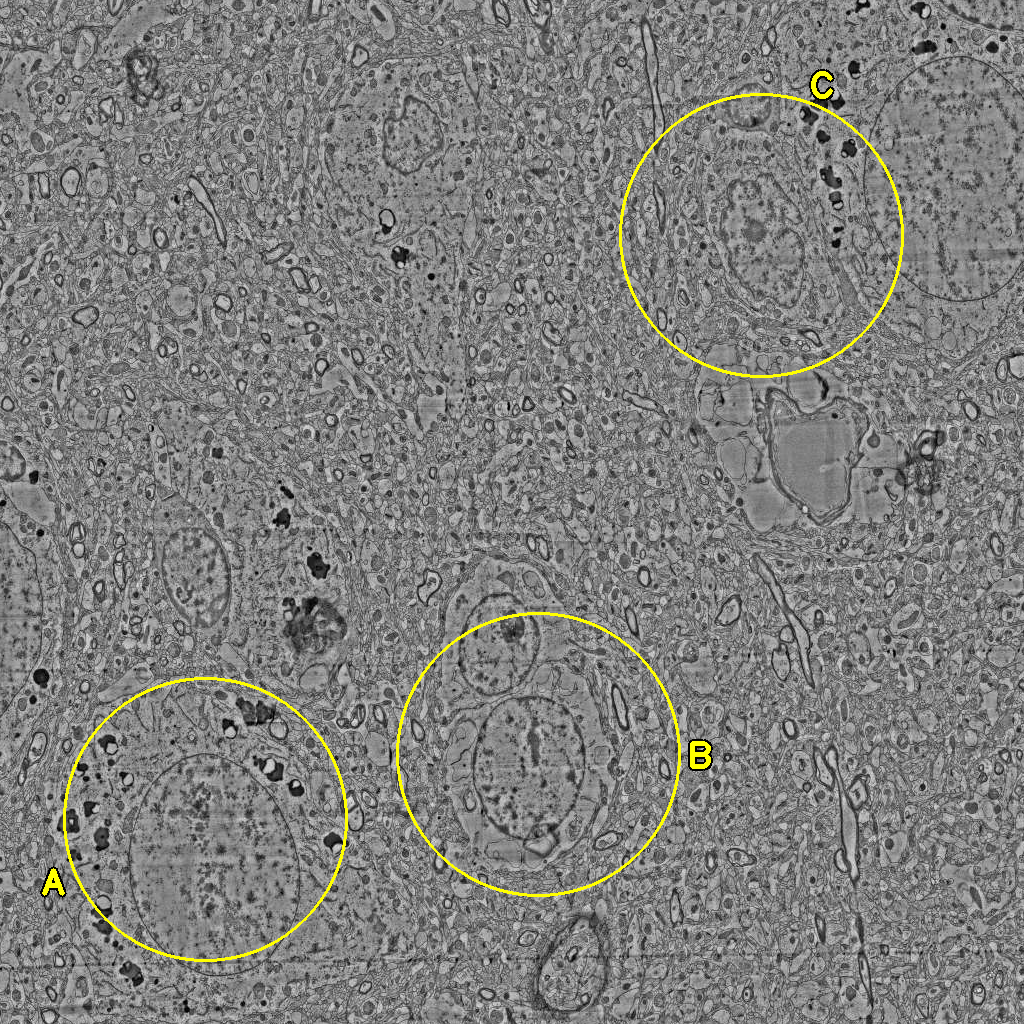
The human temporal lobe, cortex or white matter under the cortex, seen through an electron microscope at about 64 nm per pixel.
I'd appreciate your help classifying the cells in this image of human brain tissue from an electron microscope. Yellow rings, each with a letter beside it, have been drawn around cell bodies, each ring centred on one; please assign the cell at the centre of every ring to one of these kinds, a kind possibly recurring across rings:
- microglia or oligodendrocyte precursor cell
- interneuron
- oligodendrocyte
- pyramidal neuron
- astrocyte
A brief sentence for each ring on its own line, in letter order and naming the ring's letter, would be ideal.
In ring A, the central cell is a pyramidal neuron.
In ring B, the central cell is an astrocyte.
In ring C, the central cell is an interneuron.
